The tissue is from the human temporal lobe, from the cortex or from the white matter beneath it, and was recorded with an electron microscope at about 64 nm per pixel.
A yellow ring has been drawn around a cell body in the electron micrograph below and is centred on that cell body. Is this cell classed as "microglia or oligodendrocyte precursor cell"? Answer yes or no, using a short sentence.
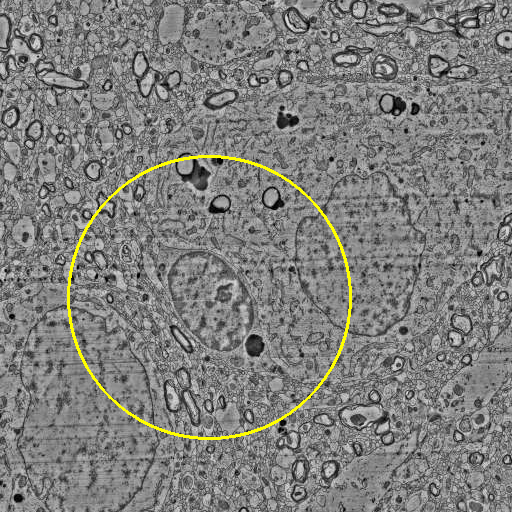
No, it is classed as another kind.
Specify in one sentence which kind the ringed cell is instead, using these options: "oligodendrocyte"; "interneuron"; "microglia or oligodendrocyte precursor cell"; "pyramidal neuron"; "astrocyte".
The ring's central cell is an oligodendrocyte instead.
